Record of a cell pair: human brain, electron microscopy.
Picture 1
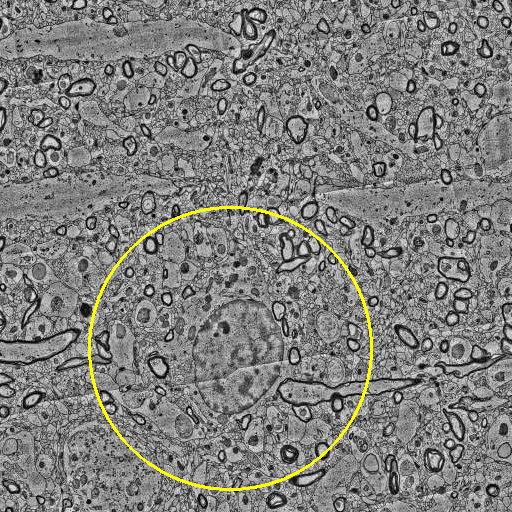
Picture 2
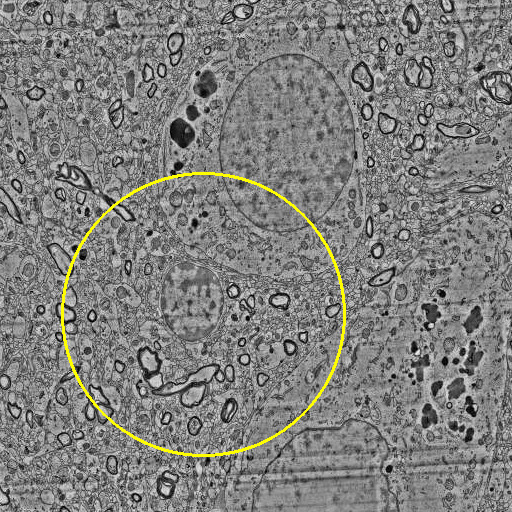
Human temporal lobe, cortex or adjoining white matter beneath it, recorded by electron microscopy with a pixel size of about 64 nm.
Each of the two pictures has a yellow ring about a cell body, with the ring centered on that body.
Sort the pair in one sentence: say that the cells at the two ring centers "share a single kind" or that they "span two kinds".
The cells centered in the rings of Pictures 1 and 2 span two kinds.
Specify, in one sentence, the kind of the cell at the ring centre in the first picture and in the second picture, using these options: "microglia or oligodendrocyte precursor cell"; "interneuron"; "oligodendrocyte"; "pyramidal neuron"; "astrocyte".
So the first is an oligodendrocyte, the second a microglial cell or oligodendrocyte precursor cell.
